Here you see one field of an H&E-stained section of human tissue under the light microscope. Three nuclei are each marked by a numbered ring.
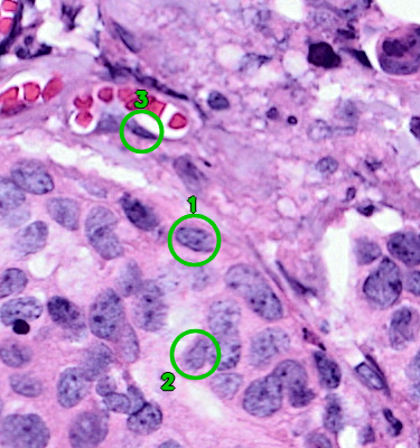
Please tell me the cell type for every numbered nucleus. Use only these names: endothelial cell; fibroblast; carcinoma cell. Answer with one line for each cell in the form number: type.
1: carcinoma cell
2: carcinoma cell
3: endothelial cell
